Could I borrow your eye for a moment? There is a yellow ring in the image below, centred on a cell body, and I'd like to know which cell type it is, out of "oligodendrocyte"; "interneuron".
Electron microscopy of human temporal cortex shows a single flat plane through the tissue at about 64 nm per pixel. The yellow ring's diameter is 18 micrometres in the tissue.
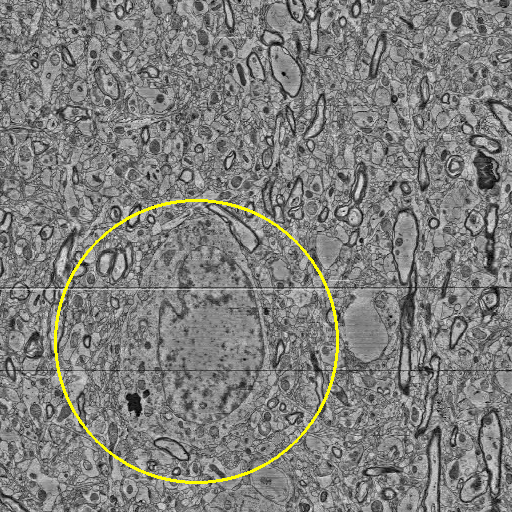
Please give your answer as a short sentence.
The cell body at the centre is that of an interneuron.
